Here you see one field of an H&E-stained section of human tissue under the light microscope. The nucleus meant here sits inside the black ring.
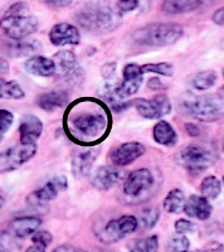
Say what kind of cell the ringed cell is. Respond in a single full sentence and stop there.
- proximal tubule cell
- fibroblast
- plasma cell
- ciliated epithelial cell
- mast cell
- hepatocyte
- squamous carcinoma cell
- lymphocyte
The cell type represented by the ringed cell is that of a lymphocyte.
